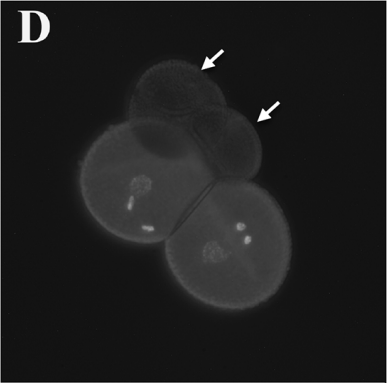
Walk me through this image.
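A tetrad of pollen grains in which two grains are large and round, each with two small bright compact nuclei and a larger diffuse nucleus. The other two grains are smaller and shrunken, and no bright nuclei are seen in them.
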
